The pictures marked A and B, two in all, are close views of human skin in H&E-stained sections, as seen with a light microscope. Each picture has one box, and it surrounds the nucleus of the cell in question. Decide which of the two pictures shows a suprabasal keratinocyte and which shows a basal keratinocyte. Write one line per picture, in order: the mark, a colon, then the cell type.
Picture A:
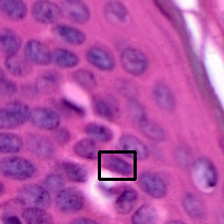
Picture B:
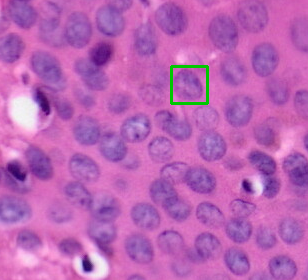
A: basal keratinocyte
B: suprabasal keratinocyte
